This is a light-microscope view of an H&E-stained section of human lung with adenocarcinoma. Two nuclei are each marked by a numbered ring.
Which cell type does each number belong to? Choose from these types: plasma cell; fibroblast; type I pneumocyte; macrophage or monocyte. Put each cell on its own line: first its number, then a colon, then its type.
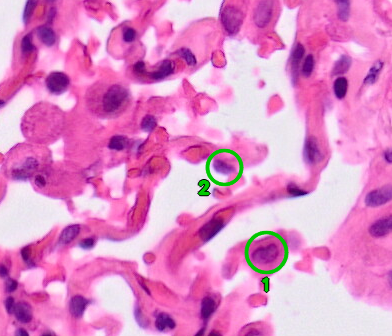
1: macrophage or monocyte
2: type I pneumocyte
